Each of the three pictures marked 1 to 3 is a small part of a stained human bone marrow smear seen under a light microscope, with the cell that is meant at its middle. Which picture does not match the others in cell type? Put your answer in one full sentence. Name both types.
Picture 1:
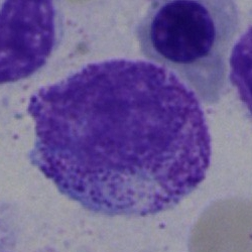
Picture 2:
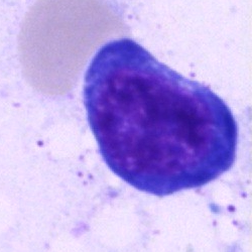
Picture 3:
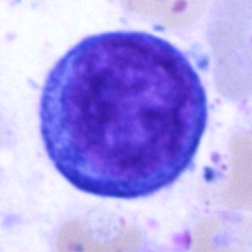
Picture 1 differs, because its cell is a myelocyte and the rest are proerythroblasts.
